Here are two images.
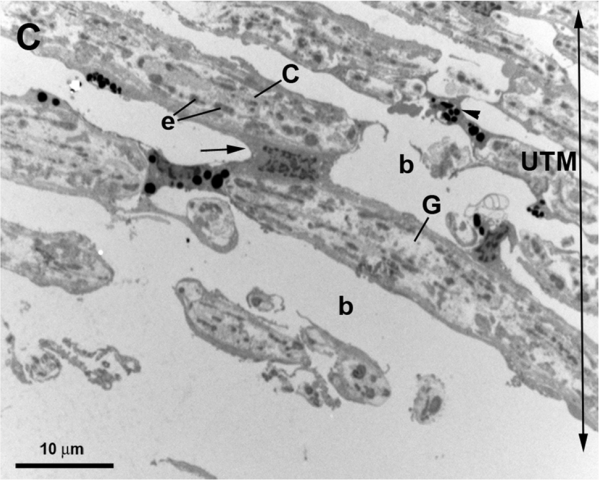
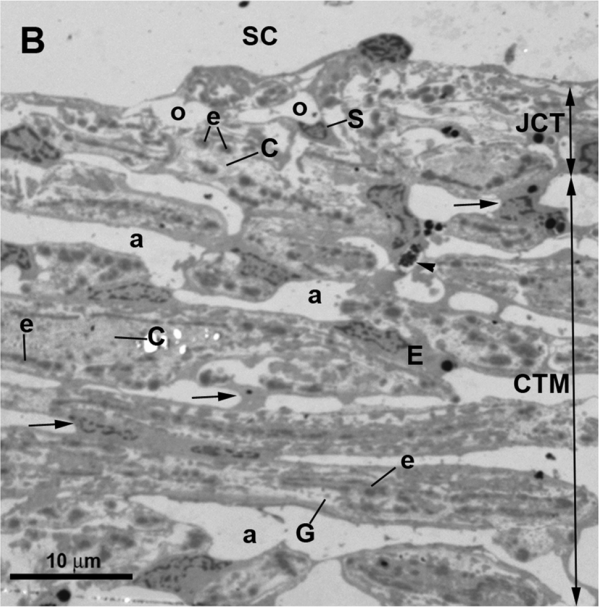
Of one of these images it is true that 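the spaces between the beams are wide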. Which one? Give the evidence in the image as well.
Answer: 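First image: broad empty spaces separate slender beams. Second image: beams are tightly stacked with narrow gaps between them. On this evidence: the first image.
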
